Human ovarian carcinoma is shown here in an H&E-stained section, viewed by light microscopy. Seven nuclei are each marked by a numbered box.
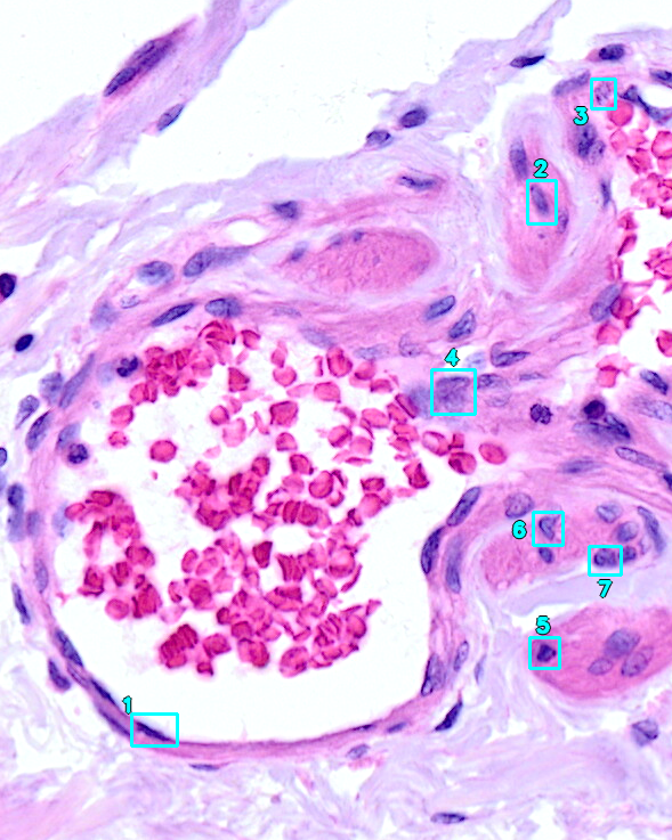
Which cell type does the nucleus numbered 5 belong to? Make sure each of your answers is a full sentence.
Here, the cell given the number 5 is a smooth muscle cell.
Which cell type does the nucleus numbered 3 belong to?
Of the numbered cells, the one labelled 3 is an endothelial cell.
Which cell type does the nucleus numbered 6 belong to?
Among the marked nuclei, number 6 belongs to a smooth muscle cell.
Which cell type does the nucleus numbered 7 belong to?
Cell 7, as marked in the section, is a smooth muscle cell.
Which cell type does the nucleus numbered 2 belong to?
The label 2 in this section denotes a smooth muscle cell.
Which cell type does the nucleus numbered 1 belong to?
Denoted by the label 1 in the section is an endothelial cell.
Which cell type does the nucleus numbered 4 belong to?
In this section, the cell tagged 4 is an endothelial cell.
